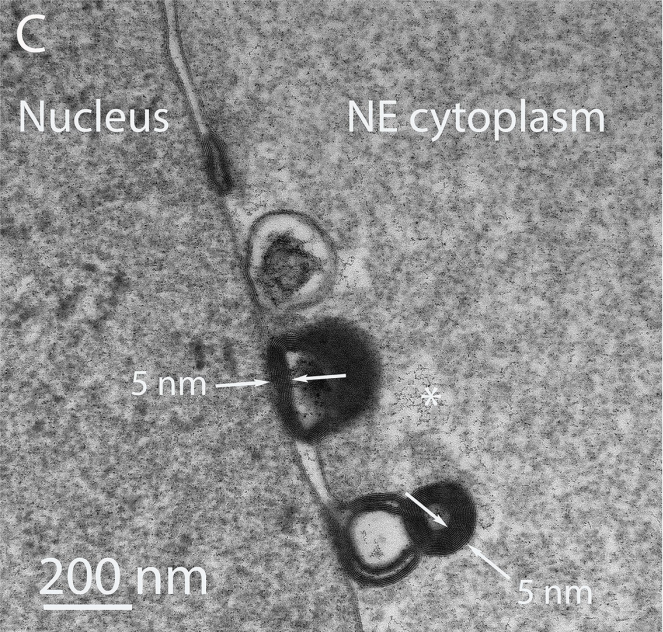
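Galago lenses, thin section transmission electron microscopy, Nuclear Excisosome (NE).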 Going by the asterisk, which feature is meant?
lacy filamentous clusters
